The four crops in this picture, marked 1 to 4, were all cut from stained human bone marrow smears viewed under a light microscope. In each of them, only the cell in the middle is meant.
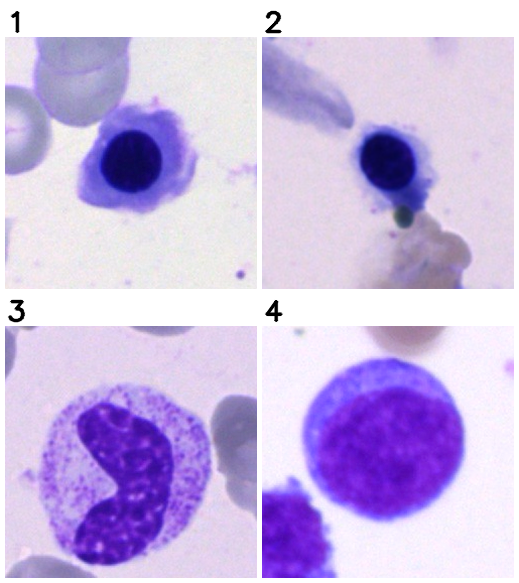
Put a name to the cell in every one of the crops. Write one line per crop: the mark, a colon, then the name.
1: normoblast
2: normoblast
3: band neutrophil
4: blast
